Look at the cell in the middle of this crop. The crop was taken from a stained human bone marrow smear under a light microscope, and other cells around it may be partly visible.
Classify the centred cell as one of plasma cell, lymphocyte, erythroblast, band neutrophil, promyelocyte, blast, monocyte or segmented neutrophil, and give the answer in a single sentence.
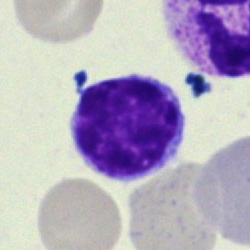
The middle of this crop is occupied by a lymphocyte.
